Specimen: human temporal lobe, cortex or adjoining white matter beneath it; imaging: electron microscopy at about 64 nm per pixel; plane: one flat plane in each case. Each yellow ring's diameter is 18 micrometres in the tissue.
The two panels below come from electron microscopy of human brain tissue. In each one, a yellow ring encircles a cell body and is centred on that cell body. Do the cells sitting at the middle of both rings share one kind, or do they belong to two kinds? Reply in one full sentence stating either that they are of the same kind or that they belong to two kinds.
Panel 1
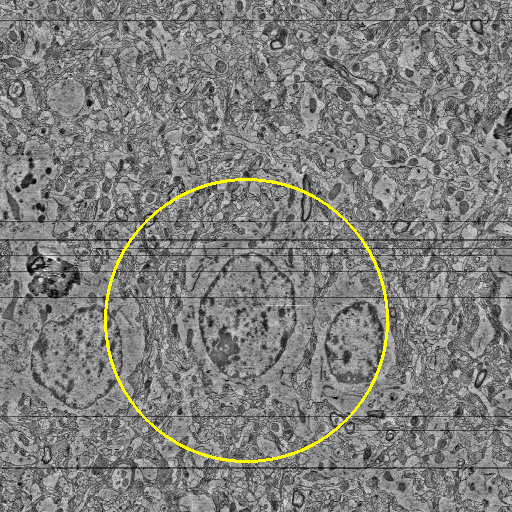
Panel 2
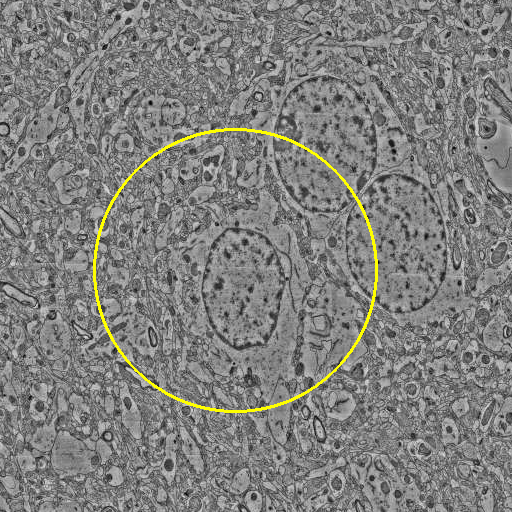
The cells at the centres of the two rings are of the same kind.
